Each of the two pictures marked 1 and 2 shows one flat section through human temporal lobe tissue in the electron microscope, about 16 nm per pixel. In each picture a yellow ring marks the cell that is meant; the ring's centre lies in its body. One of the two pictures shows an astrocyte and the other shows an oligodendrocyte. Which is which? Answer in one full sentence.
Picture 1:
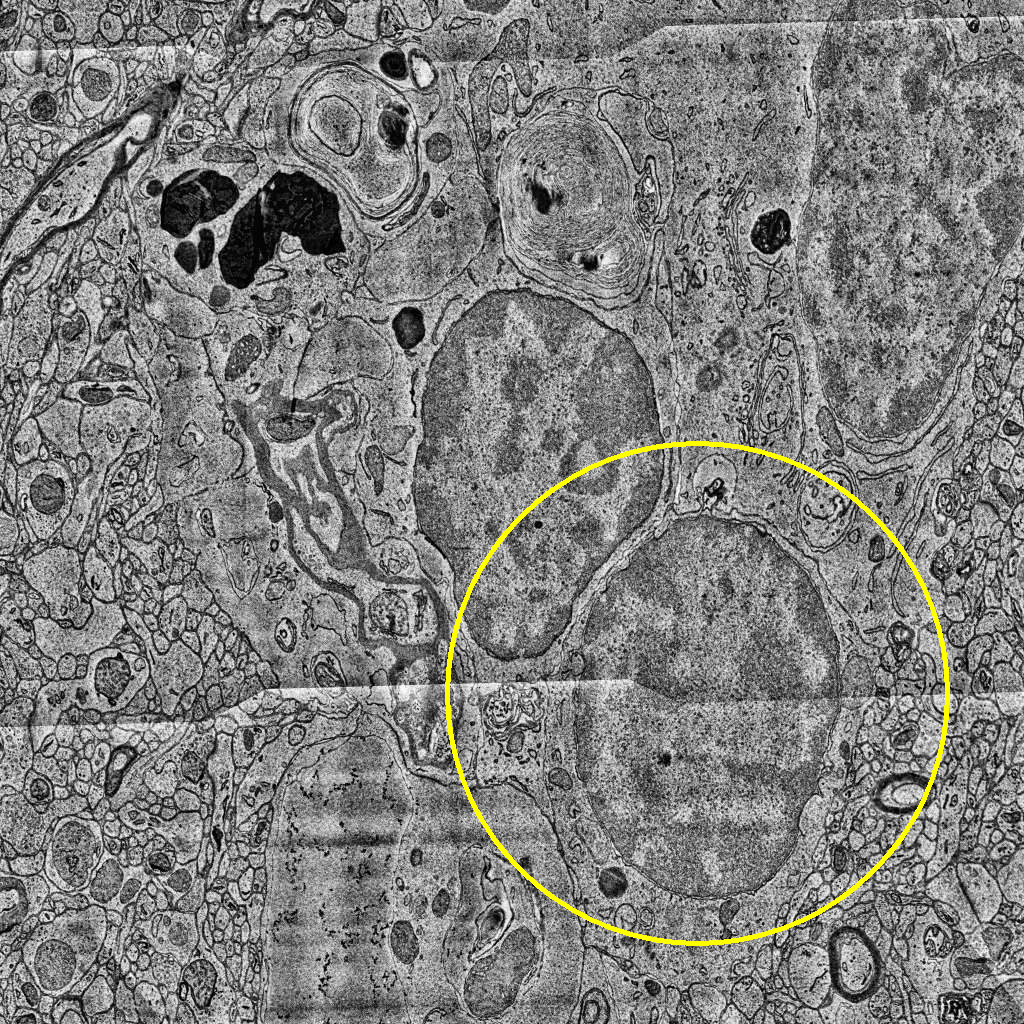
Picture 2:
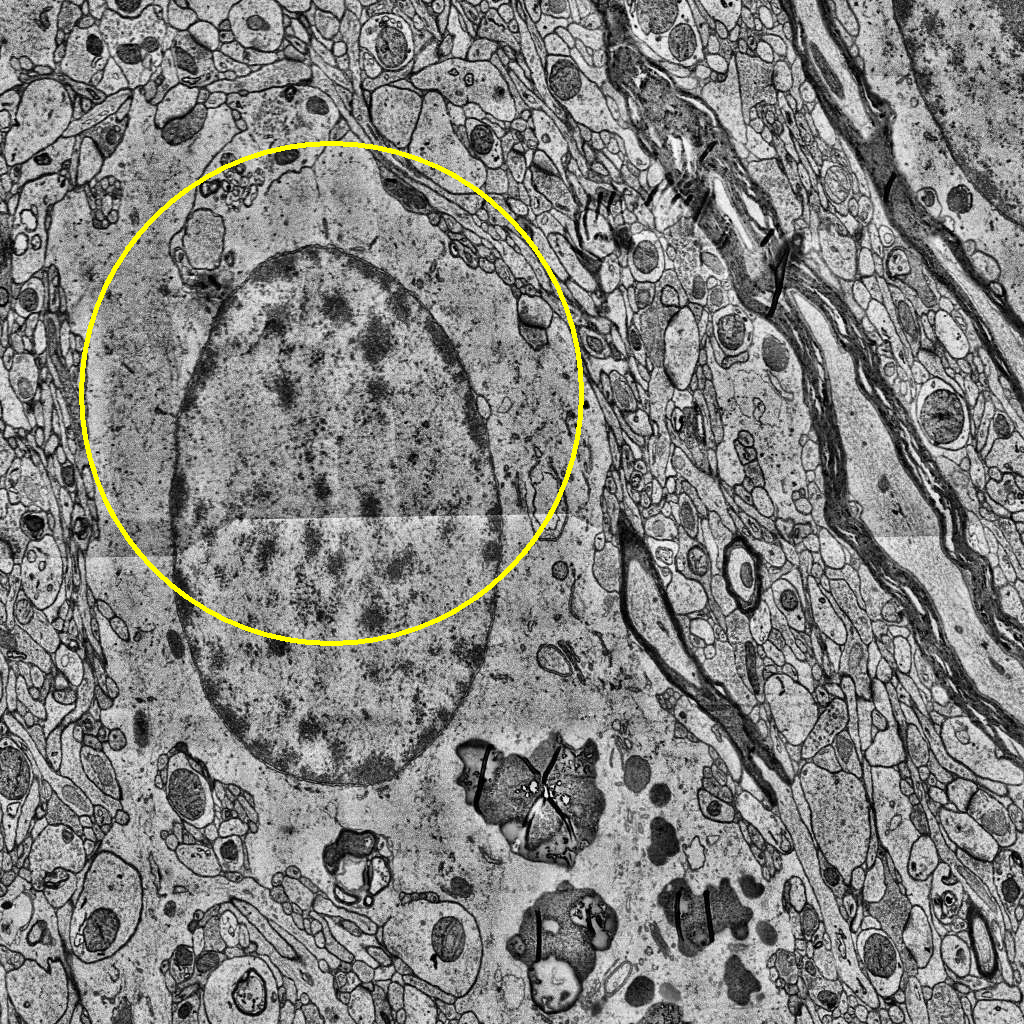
In picture 1 the cell is an oligodendrocyte; in picture 2, an astrocyte.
